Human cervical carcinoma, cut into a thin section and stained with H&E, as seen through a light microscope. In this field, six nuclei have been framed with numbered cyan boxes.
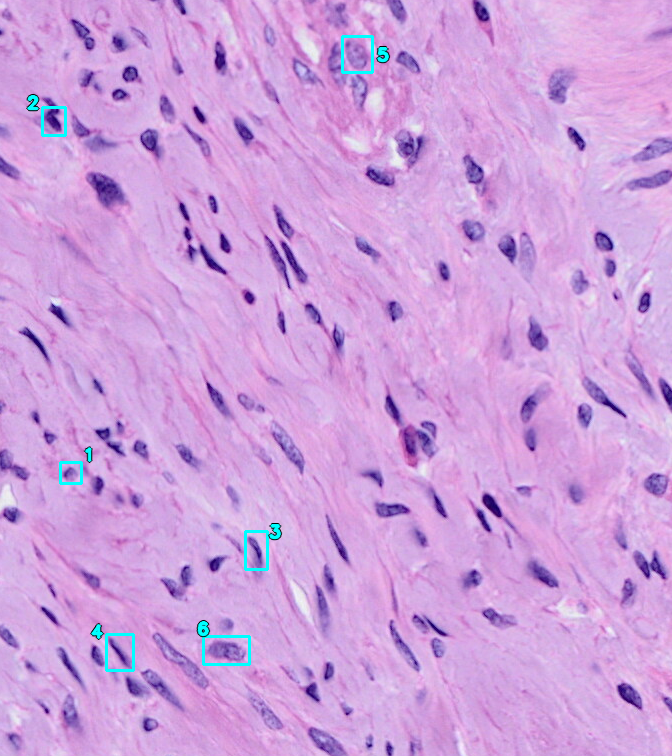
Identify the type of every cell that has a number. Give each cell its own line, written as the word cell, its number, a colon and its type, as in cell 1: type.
cell 1: smooth muscle cell
cell 2: fibroblast
cell 3: fibroblast
cell 4: fibroblast
cell 5: endothelial cell
cell 6: smooth muscle cell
